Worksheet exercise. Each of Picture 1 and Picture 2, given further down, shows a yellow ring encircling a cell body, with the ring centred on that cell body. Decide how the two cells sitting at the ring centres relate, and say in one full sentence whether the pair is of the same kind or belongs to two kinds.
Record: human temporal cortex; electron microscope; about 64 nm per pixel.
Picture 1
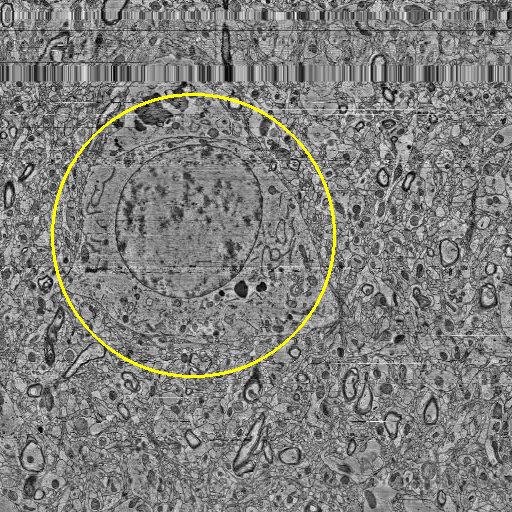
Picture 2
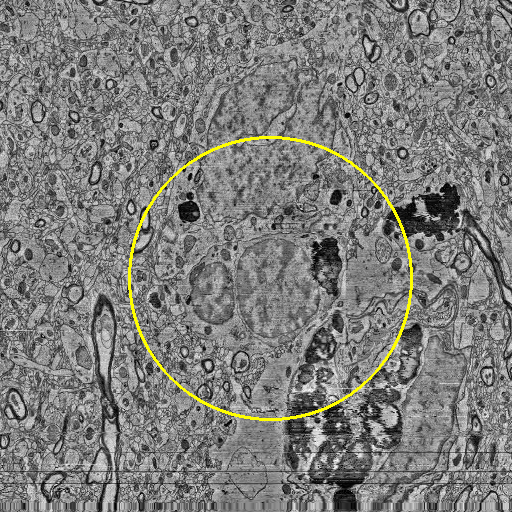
The cells at the ring centres in Picture 1 and Picture 2 belong to two kinds.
